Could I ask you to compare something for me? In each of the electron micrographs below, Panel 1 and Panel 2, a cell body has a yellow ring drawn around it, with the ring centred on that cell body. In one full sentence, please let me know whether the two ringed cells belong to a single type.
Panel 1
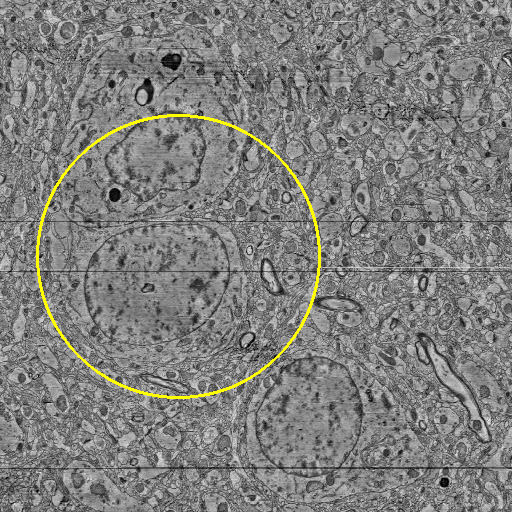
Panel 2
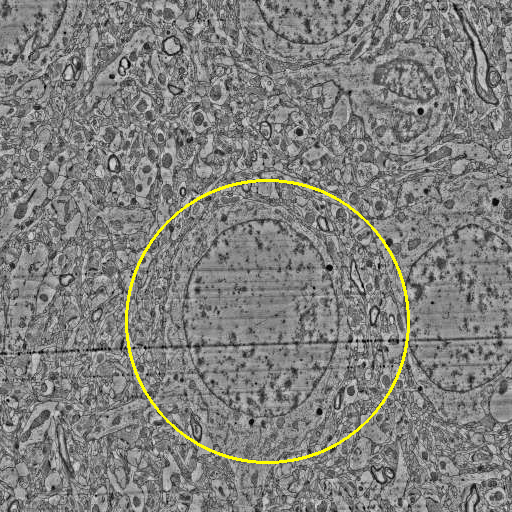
Yes, the two cells at the centres of the rings are of one type.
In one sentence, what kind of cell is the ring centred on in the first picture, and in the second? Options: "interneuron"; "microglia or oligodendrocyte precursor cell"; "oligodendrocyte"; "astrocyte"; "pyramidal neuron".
The second cell is a pyramidal neuron, just as the first is.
